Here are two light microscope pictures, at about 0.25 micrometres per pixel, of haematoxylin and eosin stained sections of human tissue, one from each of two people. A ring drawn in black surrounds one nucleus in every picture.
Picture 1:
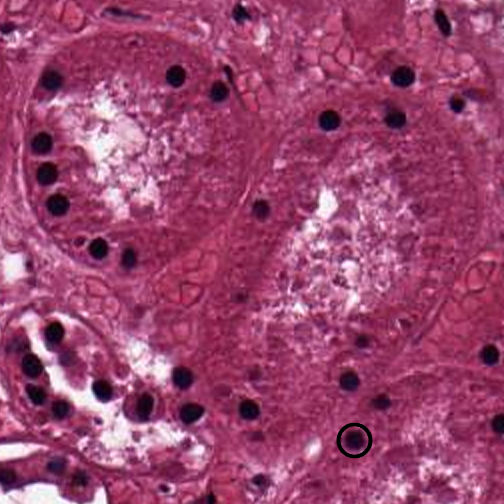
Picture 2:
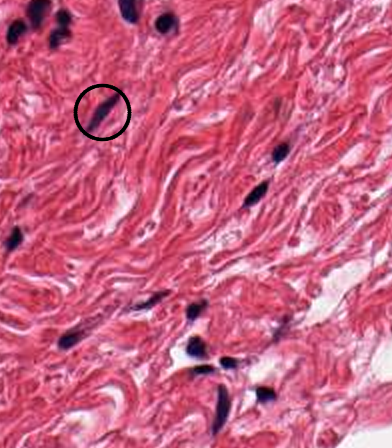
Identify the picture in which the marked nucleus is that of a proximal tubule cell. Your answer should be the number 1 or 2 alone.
1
